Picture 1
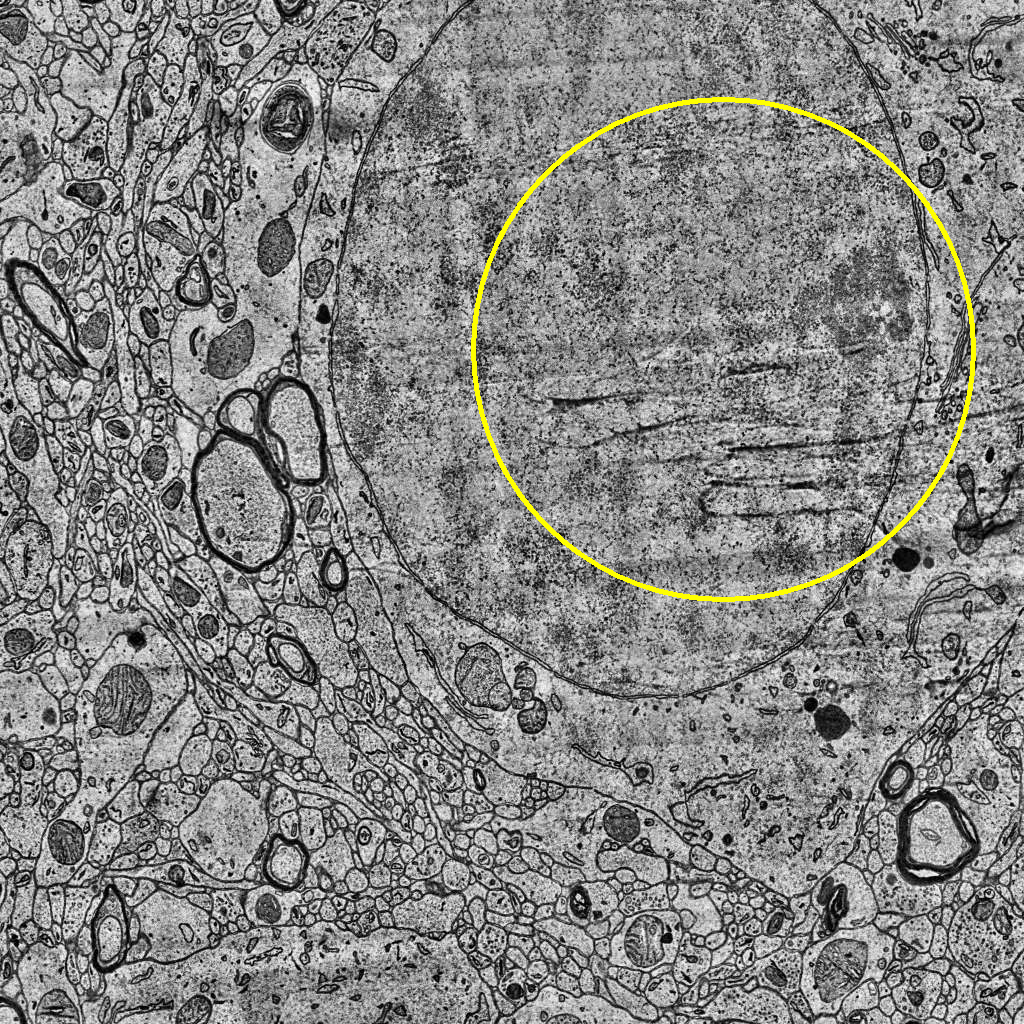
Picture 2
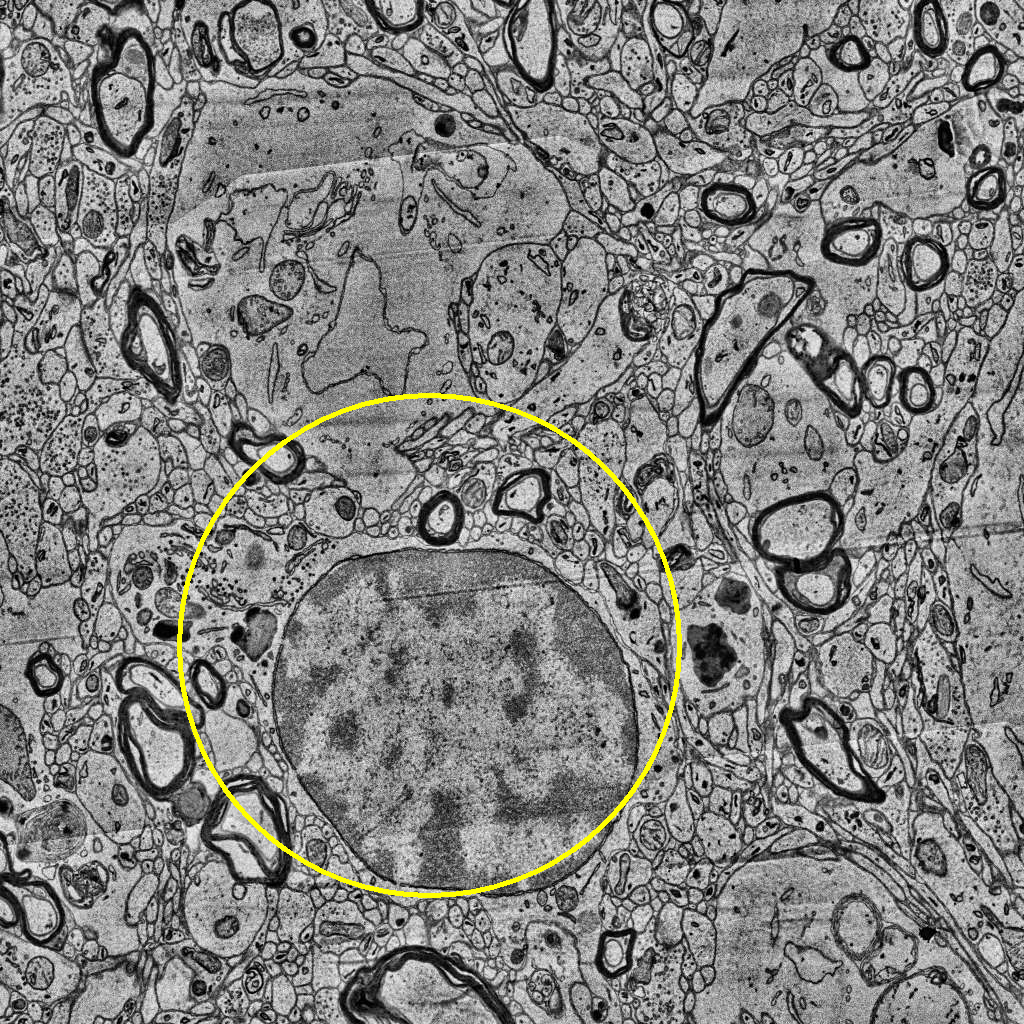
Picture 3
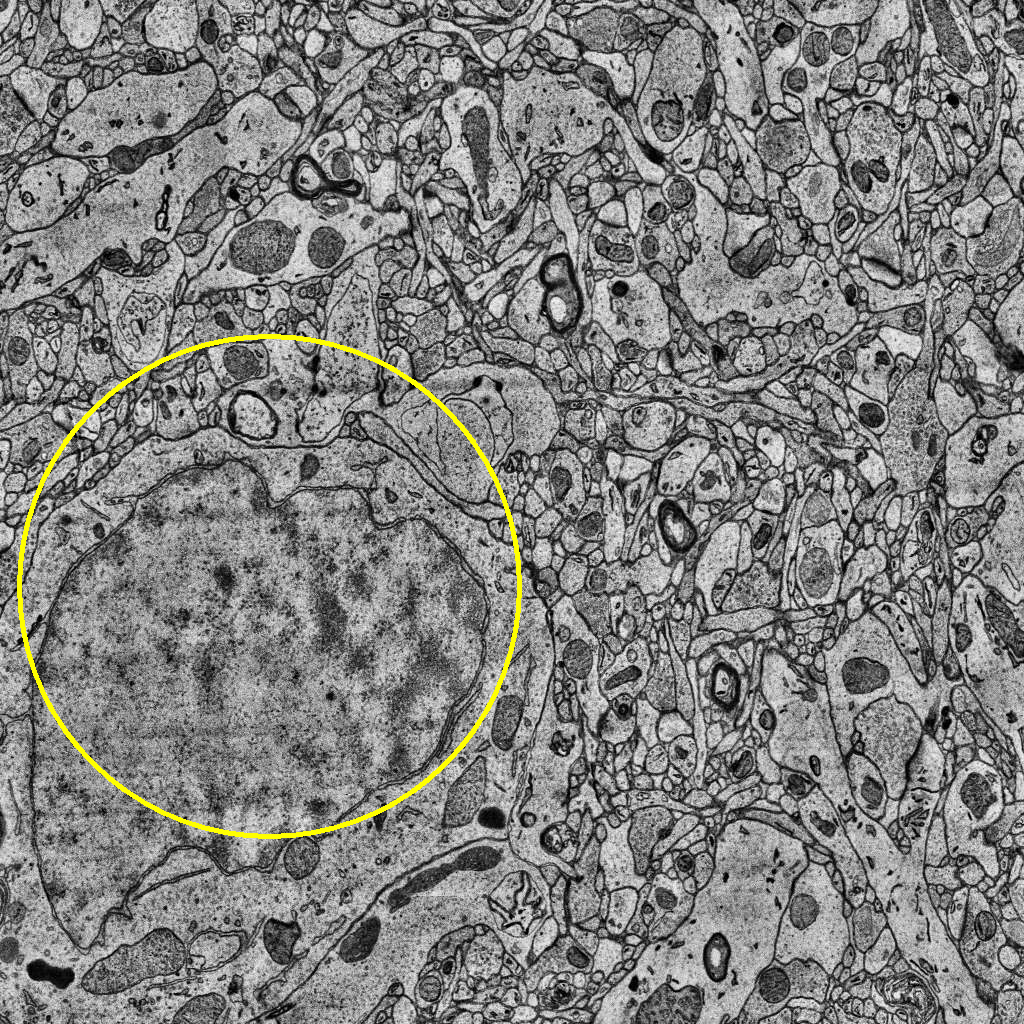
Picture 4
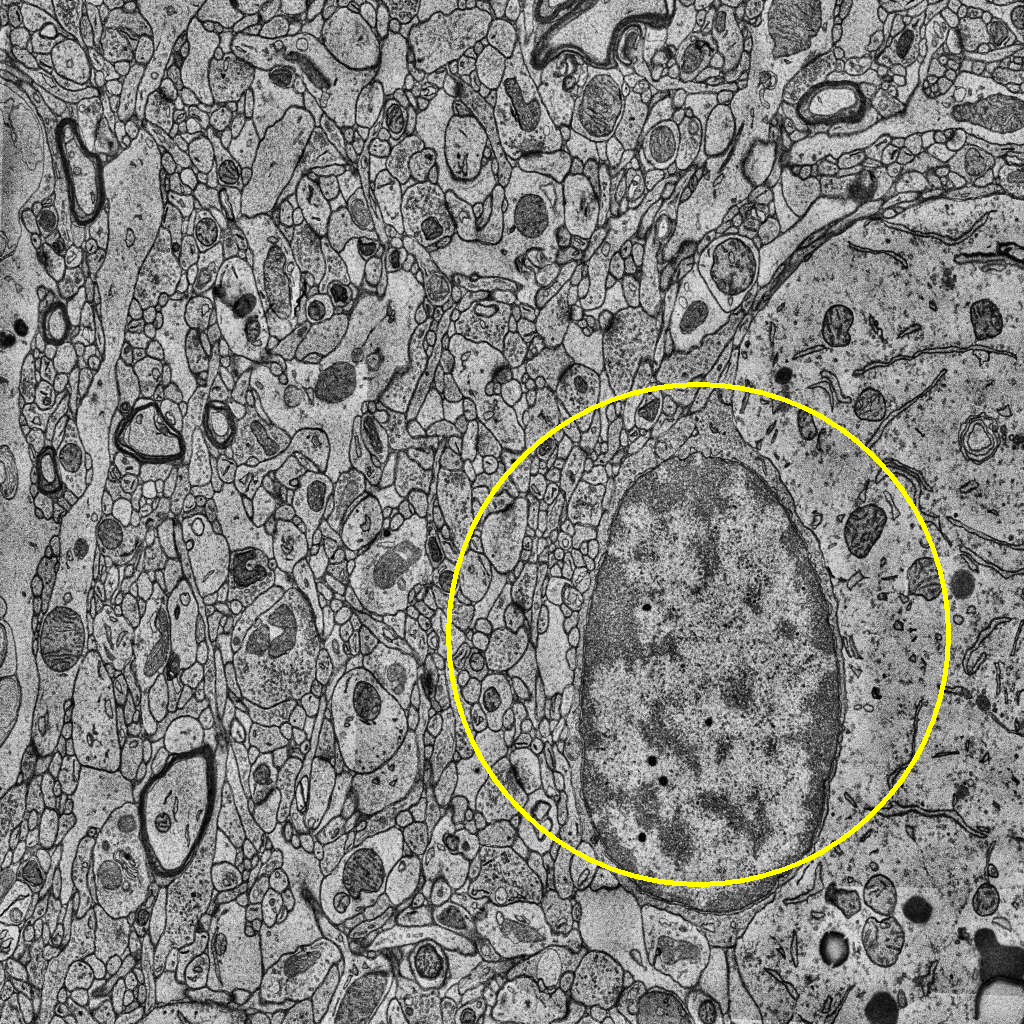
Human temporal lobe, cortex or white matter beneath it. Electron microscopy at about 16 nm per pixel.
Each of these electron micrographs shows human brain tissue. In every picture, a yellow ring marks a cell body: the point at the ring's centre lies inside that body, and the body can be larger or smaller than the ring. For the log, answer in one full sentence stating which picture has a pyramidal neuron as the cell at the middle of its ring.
In picture 1, the centre of the yellow ring lies inside the requested cell.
